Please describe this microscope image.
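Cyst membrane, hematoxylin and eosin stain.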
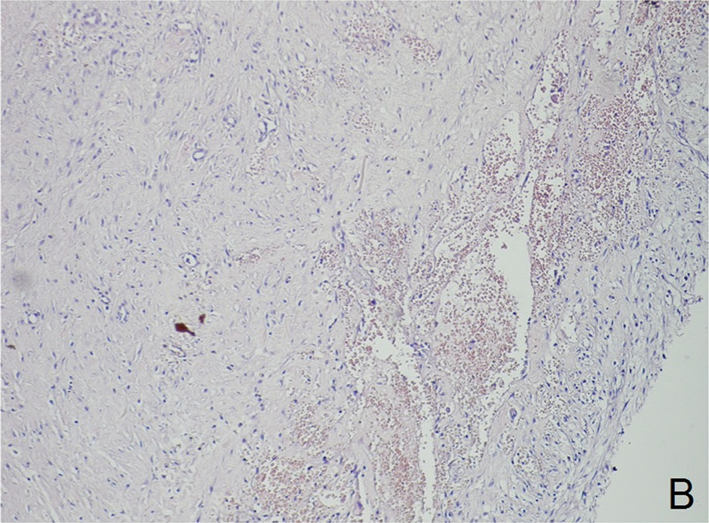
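Scattered spindle-shaped cells with small bluish nuclei lie within a pale, finely fibrillar matrix. On the right, large clusters of extravasated red blood cells fill the tissue and form bands along slit-like spaces. A small granule of brown pigment lies within the stroma.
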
